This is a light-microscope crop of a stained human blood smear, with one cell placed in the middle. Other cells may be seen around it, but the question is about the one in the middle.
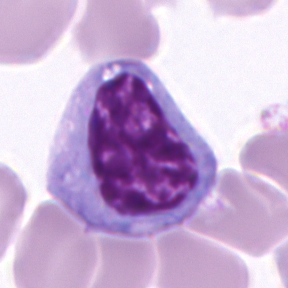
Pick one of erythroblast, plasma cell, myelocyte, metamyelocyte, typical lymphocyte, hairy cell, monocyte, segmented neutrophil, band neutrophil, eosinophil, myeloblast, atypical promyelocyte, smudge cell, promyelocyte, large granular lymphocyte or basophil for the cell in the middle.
plasma cell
